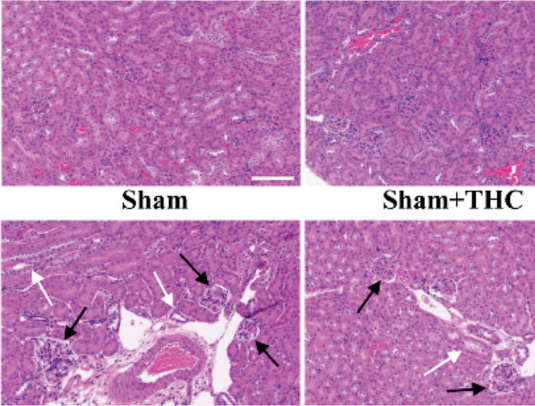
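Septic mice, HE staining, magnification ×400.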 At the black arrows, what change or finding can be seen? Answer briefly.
Glomerulus degeneration and necrosis.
